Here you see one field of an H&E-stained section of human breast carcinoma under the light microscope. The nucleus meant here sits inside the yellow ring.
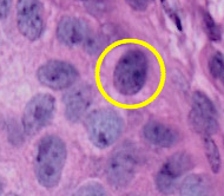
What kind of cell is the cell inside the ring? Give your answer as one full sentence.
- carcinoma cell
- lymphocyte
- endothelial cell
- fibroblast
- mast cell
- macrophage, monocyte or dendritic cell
As a matter of cell type, the cell inside the ring is a carcinoma cell.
